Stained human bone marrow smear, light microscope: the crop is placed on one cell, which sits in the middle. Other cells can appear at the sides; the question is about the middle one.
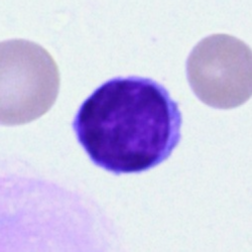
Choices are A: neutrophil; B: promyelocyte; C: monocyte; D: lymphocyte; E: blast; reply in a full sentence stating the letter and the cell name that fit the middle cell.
Occupying the middle of the crop is a lymphocyte, hence option D is correct.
